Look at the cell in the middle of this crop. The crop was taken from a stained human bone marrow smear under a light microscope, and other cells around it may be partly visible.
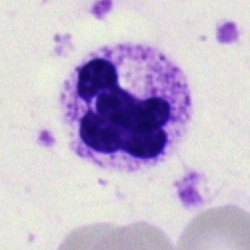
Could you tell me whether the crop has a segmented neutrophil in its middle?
yes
